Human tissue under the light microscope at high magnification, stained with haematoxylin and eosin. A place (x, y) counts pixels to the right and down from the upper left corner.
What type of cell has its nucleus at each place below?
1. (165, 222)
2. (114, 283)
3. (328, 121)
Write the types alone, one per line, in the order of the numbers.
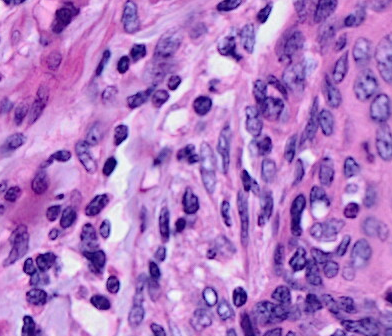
lymphocyte
lymphocyte
squamous carcinoma cell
